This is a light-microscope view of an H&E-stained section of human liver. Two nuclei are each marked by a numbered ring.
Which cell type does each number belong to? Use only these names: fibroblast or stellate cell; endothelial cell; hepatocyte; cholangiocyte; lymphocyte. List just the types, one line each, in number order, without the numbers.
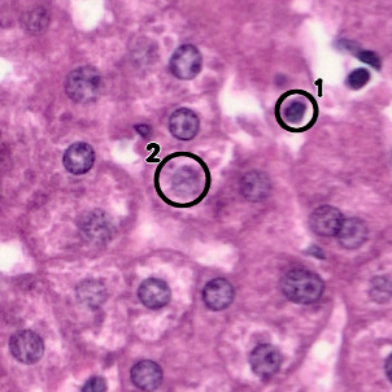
lymphocyte
hepatocyte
